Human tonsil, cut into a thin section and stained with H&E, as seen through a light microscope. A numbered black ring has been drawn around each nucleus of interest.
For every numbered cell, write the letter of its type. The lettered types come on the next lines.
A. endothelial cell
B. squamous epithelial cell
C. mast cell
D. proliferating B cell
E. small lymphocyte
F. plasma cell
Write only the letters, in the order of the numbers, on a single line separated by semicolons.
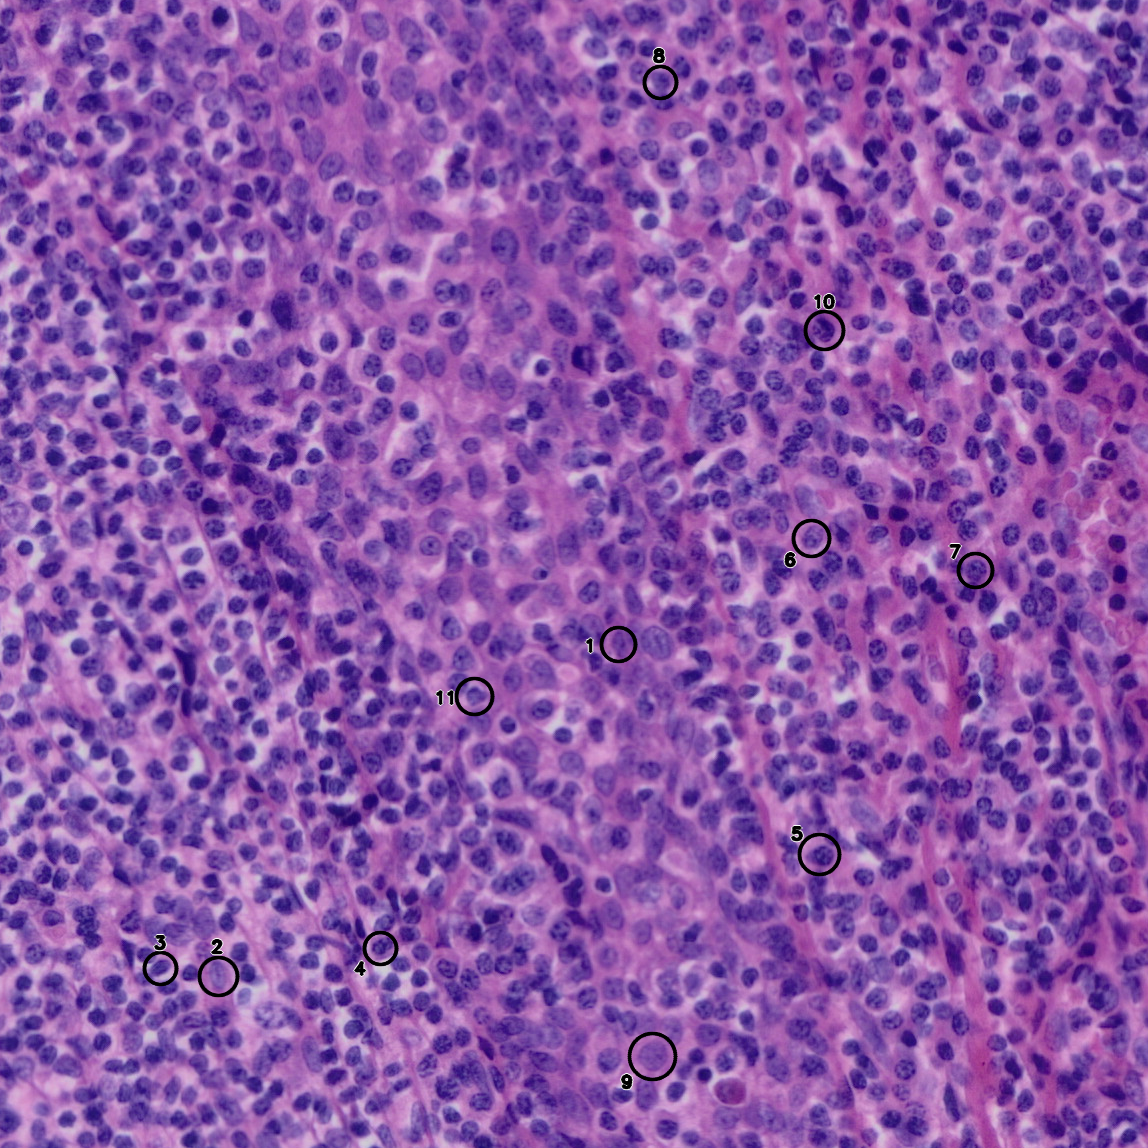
B; A; E; F; F; F; F; F; B; F; B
